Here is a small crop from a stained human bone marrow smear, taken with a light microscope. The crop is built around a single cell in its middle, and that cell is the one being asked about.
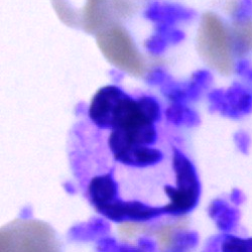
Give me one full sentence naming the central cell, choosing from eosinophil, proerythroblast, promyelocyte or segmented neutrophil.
What the crop centres on is a segmented neutrophil.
